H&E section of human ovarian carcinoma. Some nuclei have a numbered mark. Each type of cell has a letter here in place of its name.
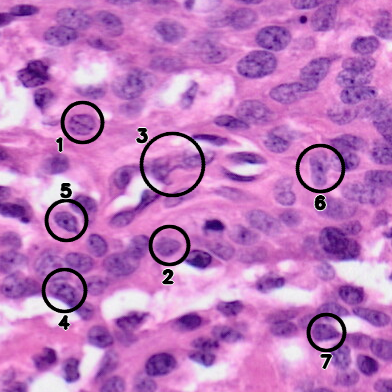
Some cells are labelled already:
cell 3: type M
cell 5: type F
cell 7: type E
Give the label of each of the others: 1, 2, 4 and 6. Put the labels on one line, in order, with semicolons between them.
type F; type E; type E; type F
